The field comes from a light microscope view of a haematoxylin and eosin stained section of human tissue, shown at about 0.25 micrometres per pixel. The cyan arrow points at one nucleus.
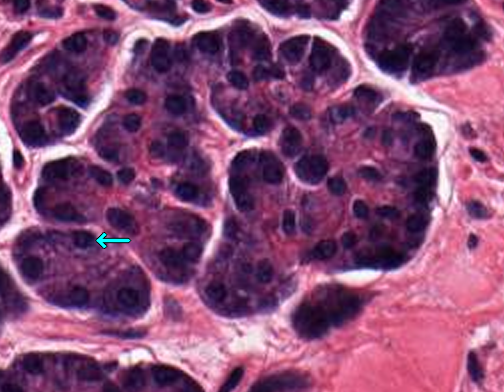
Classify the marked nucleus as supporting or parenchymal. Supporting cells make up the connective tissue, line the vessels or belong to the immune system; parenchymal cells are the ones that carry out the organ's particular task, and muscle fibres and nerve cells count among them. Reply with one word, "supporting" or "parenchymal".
parenchymal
